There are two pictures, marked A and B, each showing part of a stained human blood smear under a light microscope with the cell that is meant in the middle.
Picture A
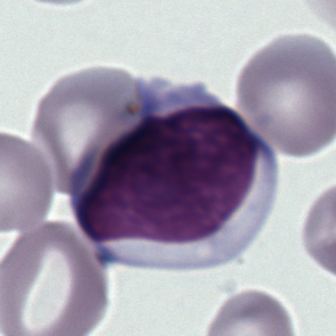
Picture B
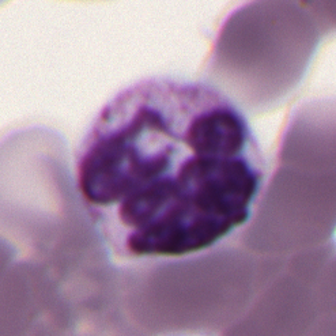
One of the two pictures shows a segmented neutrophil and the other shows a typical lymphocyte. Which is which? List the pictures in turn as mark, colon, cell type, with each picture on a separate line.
A: typical lymphocyte
B: segmented neutrophil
